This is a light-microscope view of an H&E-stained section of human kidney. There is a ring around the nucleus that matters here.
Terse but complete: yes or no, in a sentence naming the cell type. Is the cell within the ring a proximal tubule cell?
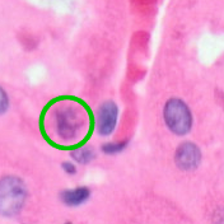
Yes, the cell within the ring corresponds to a proximal tubule cell in this tissue.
